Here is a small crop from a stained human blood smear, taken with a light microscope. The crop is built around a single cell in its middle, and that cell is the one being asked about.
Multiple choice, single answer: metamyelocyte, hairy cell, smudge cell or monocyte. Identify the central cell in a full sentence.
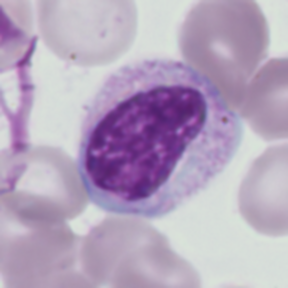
By type, the central cell of the crop is a metamyelocyte.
